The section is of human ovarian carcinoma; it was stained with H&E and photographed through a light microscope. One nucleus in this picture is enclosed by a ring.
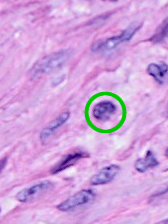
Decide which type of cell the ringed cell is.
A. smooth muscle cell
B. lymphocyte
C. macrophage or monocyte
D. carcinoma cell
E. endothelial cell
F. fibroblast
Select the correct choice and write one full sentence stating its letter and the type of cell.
Option B correctly labels the ringed cell as a lymphocyte.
